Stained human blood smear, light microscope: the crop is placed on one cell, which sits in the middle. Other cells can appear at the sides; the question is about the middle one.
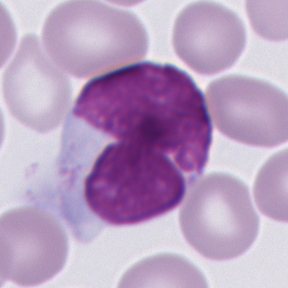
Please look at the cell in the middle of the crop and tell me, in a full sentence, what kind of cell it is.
Positioned in the middle of the crop is a large granular lymphocyte.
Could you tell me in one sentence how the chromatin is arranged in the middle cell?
The chromatin remains finely textured, with no coarse clumps to speak of.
